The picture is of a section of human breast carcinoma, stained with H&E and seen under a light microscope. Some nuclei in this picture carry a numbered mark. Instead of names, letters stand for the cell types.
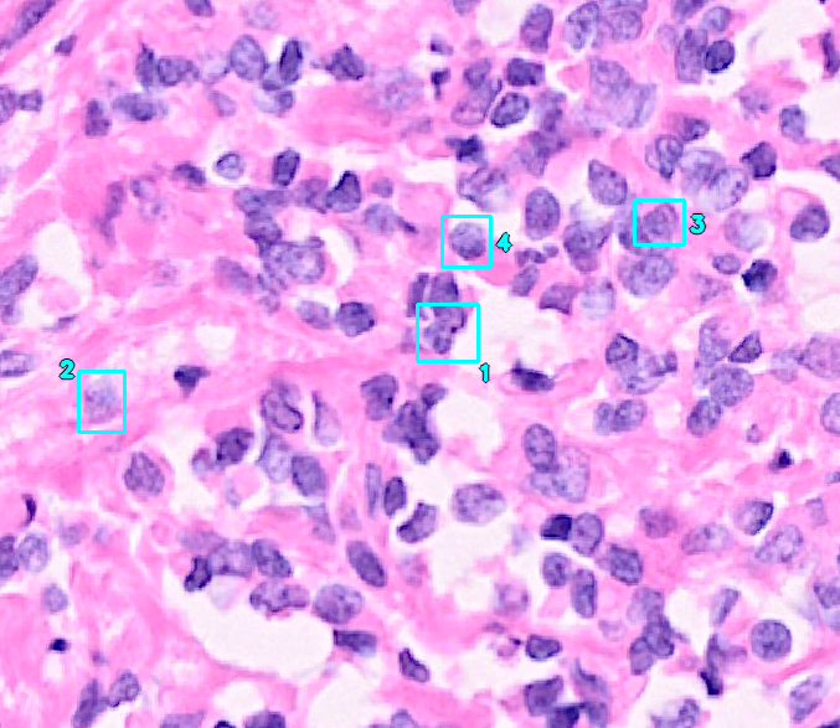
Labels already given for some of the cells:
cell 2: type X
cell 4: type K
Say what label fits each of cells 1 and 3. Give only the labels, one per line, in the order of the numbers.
type K
type K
